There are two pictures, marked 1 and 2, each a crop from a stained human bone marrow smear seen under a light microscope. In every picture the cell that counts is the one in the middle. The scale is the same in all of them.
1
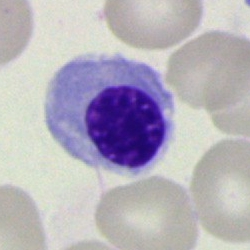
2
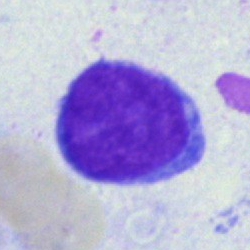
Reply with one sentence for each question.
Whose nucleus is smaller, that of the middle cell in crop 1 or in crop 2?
It is the nucleus in crop 1; the one in crop 2 has about 2.5 times its area.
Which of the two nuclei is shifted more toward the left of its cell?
In crop 2 the nucleus is shifted more toward the left.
